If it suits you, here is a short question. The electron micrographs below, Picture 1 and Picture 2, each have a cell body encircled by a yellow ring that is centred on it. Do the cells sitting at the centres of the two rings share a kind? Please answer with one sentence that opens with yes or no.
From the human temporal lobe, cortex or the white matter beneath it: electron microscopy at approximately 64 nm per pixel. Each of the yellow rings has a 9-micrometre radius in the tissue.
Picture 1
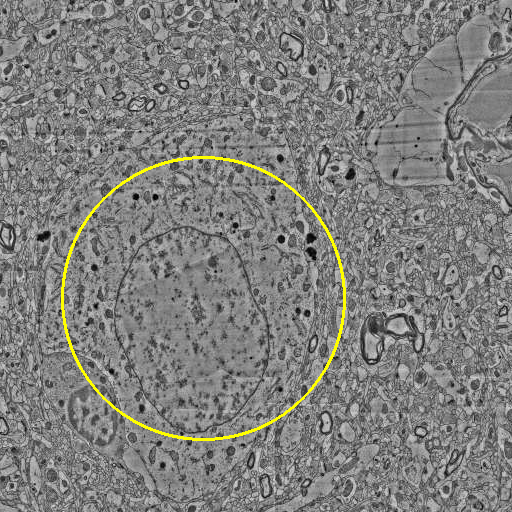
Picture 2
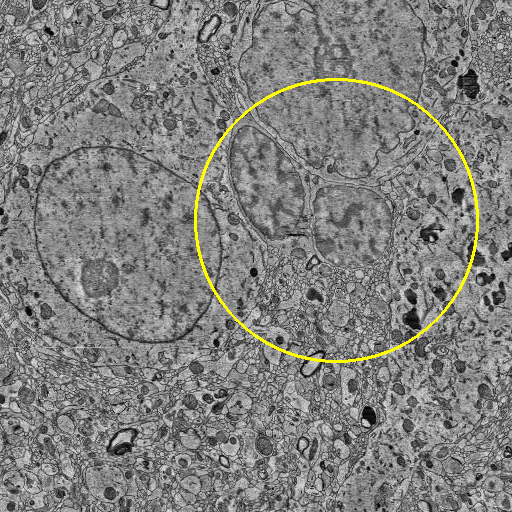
No, the two cells sitting at the ring centres fall into two kinds.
